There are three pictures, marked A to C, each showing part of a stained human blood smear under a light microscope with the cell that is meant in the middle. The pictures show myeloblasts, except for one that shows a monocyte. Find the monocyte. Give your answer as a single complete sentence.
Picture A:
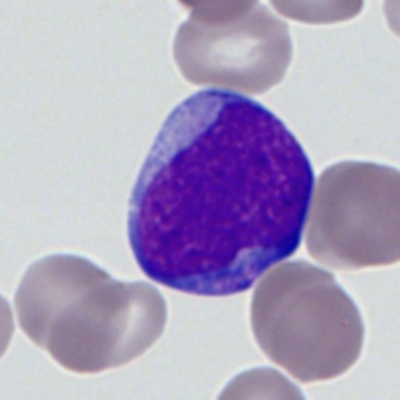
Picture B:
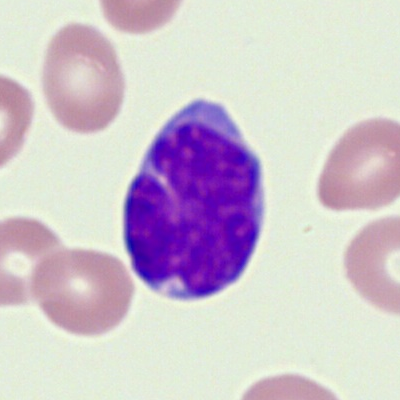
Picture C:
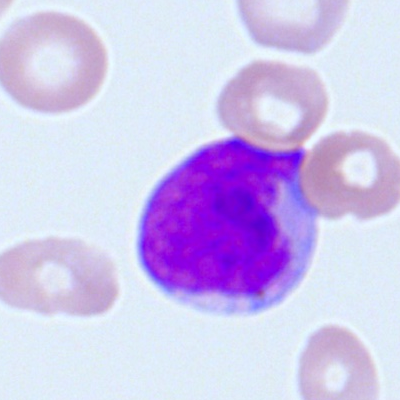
Picture B shows the monocyte.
